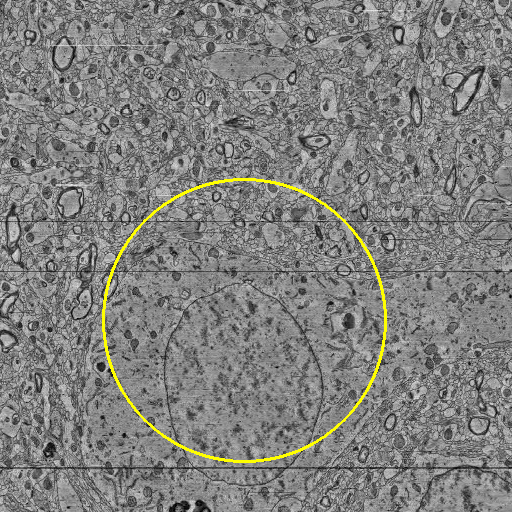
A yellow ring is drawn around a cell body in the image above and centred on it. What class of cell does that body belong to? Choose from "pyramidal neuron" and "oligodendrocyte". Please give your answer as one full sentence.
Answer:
The yellow ring above is centred on the cell body of a pyramidal neuron.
